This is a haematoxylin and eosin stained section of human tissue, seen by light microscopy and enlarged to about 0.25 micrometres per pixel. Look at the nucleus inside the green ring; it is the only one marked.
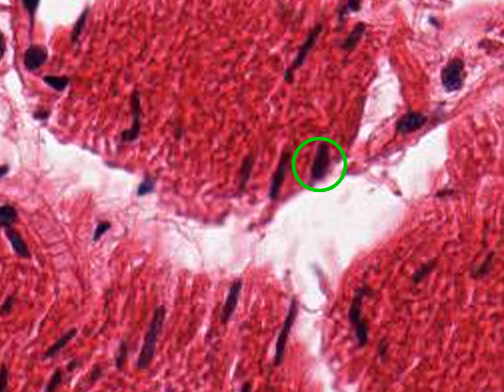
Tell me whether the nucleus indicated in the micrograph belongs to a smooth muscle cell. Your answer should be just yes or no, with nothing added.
yes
